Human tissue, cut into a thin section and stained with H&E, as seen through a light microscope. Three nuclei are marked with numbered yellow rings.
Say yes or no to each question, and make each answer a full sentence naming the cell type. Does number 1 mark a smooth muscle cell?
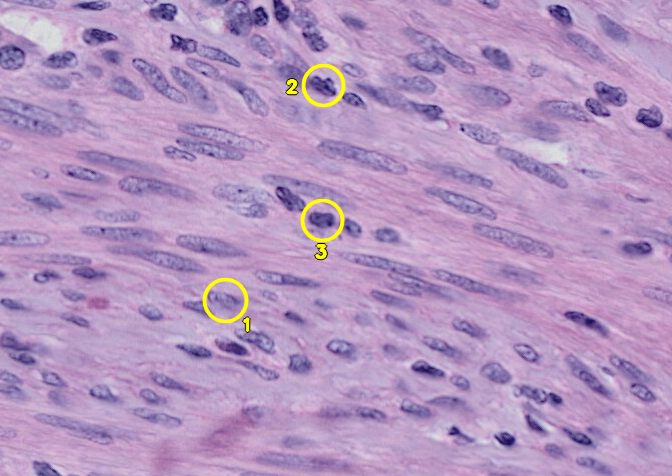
Yes, among the marked cells, the one with number 1 is a smooth muscle cell.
